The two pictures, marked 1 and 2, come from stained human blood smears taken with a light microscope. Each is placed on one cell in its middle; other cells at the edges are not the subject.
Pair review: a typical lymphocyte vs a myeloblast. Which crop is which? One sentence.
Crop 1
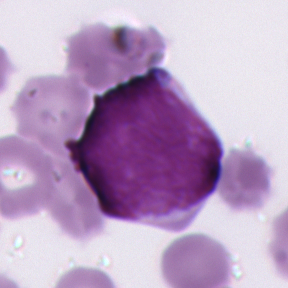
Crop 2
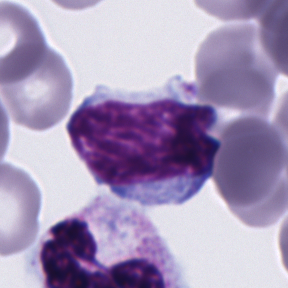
Shown in crop 1 is a myeloblast, and shown in crop 2 is a typical lymphocyte.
